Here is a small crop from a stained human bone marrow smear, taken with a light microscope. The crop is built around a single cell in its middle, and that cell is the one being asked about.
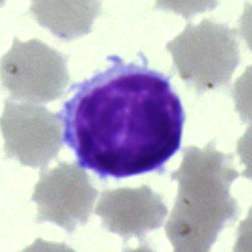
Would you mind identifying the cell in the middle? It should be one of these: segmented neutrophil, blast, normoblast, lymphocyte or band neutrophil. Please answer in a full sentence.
The cell of interest, in the center, is a lymphocyte.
